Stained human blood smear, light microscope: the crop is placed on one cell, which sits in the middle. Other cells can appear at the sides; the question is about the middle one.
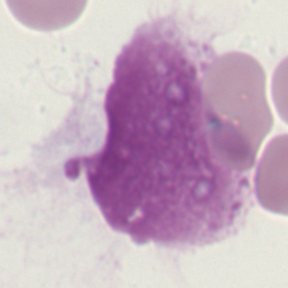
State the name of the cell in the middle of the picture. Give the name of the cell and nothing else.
smudge cell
